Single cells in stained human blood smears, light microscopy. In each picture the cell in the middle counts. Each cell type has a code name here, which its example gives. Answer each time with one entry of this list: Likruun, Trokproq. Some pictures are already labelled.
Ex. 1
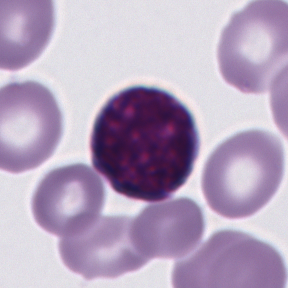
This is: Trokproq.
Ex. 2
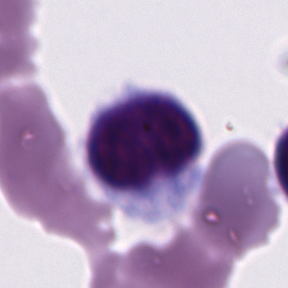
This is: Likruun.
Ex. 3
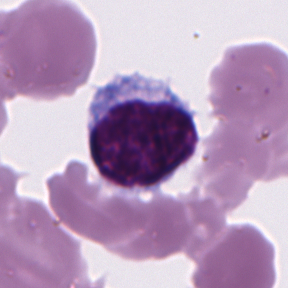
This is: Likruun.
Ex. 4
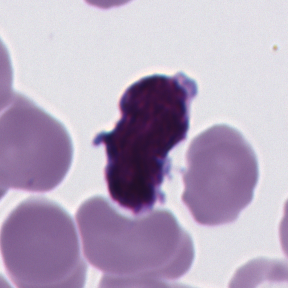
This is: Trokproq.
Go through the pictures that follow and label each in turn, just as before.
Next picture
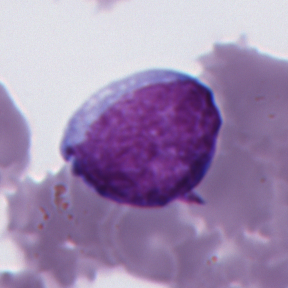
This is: Trokproq.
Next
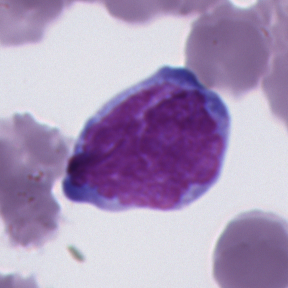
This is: Trokproq.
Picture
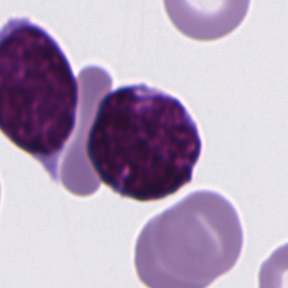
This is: Trokproq.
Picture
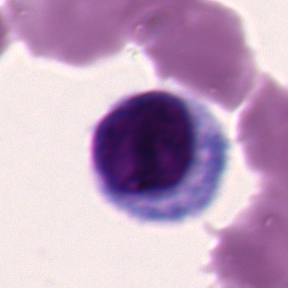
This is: Likruun.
